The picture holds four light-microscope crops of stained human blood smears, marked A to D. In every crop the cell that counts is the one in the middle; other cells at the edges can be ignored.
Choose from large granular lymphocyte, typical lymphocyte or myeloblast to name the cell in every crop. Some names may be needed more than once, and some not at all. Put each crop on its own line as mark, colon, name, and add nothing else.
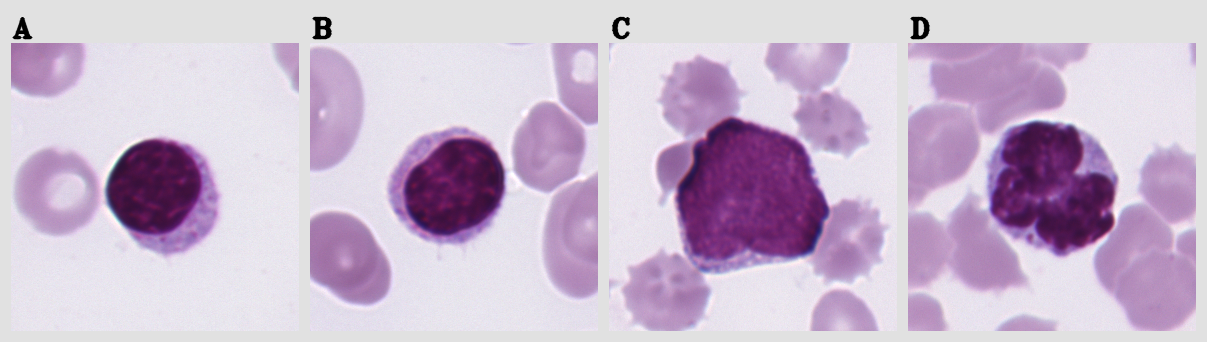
A: large granular lymphocyte
B: large granular lymphocyte
C: myeloblast
D: typical lymphocyte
